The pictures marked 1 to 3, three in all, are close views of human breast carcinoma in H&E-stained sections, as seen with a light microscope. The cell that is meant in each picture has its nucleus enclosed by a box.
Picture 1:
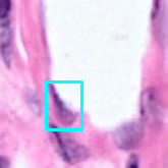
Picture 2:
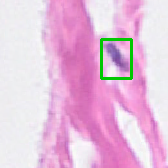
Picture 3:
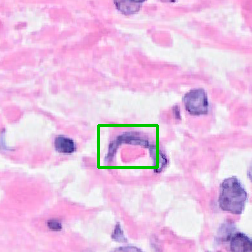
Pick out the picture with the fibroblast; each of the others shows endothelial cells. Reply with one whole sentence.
Picture 2 shows the fibroblast.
